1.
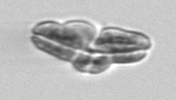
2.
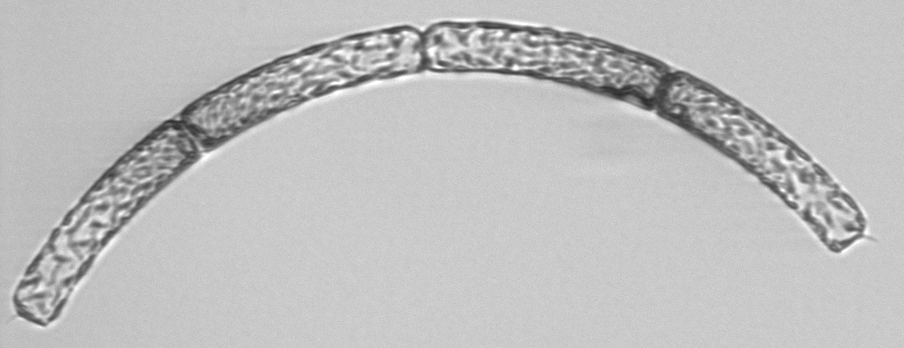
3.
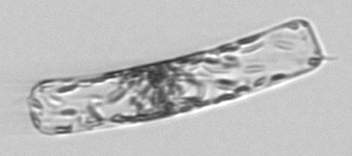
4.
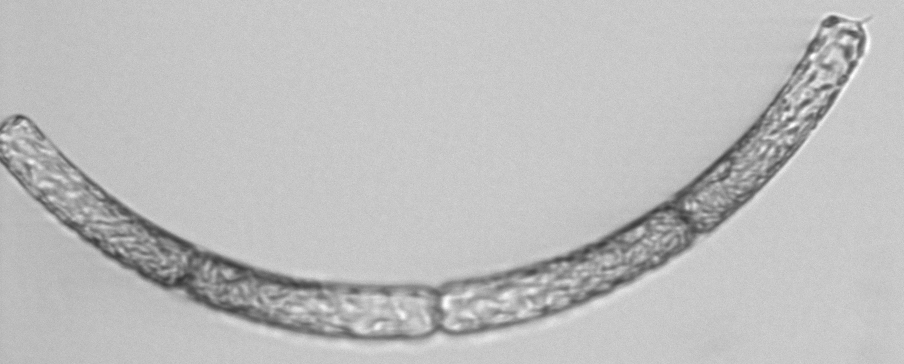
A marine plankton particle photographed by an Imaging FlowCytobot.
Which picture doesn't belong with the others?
Picture 1.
